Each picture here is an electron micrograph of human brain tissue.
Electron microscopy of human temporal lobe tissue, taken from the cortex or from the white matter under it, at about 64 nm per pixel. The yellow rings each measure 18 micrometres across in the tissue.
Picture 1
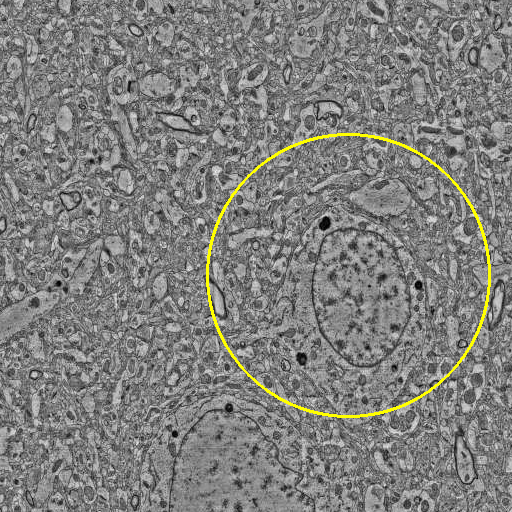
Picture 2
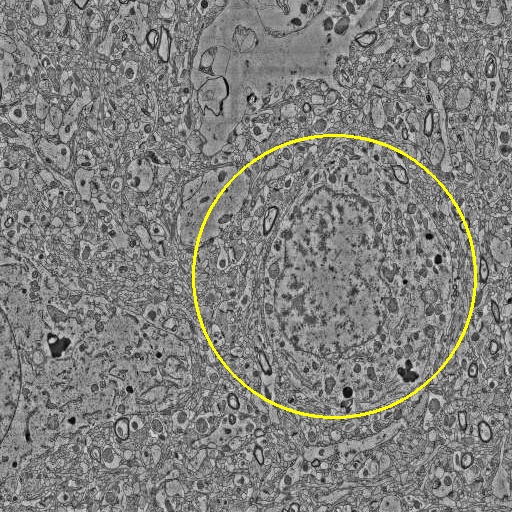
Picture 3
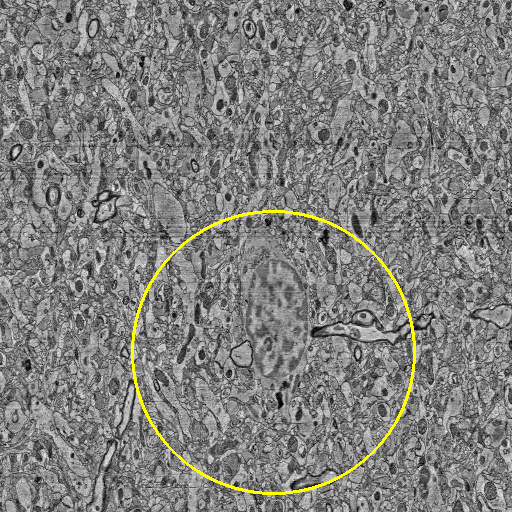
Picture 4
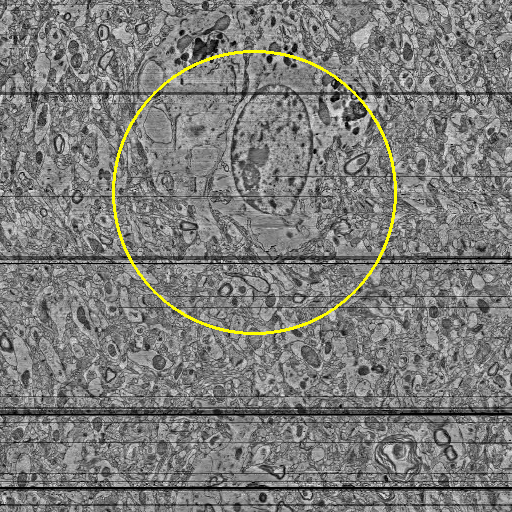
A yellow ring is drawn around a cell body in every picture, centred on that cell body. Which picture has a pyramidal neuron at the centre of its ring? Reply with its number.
1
